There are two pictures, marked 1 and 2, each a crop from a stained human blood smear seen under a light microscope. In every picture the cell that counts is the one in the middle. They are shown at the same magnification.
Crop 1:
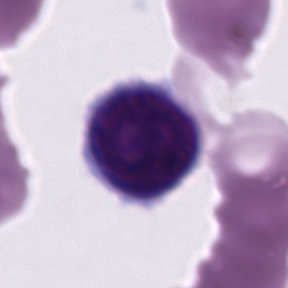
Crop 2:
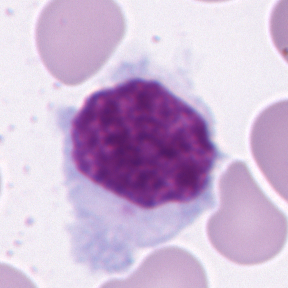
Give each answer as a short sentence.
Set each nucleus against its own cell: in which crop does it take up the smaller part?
Of the two, the nucleus in crop 2 leaves more room for cytoplasm.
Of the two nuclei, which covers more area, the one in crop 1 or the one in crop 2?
Crop 2 shows the larger nucleus; it covers about 1.5 times the area of the nucleus in crop 1.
